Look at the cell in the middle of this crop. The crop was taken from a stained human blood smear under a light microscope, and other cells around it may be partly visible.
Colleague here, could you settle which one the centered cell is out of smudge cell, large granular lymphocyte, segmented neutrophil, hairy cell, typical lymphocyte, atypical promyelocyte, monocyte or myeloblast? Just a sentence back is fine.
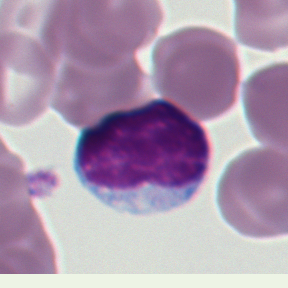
Centrally within this crop lies a typical lymphocyte.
